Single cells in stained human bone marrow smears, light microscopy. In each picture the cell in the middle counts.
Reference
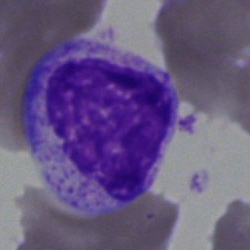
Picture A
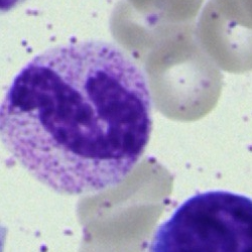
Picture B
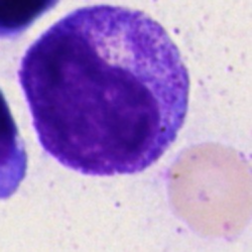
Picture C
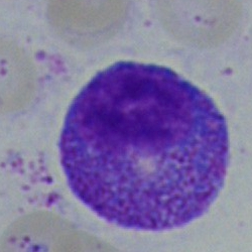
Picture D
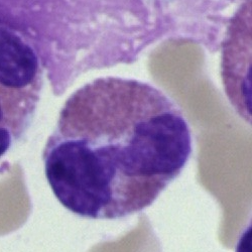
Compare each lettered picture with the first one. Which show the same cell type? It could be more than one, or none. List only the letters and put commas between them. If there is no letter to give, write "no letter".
no letter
